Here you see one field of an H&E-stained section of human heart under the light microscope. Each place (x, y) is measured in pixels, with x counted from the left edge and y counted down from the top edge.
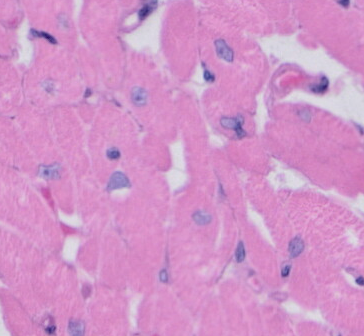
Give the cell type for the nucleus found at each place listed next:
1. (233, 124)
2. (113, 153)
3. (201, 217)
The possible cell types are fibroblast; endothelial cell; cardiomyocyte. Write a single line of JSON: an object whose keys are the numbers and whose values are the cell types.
{"1": "cardiomyocyte", "2": "endothelial cell", "3": "cardiomyocyte"}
